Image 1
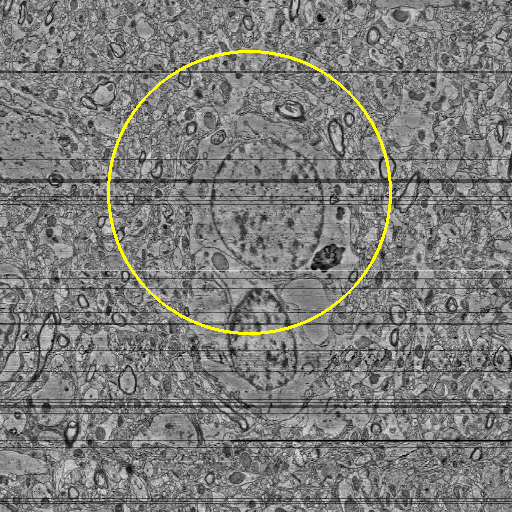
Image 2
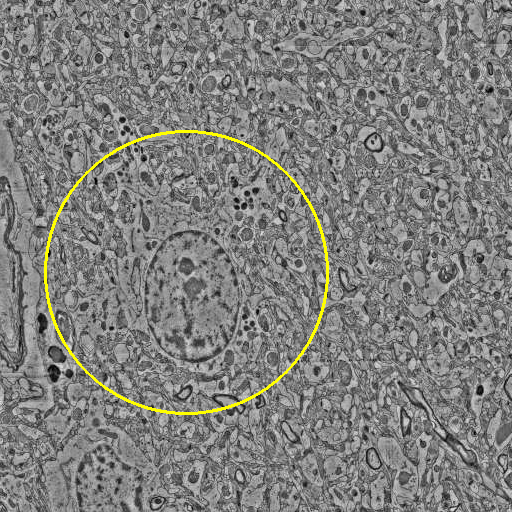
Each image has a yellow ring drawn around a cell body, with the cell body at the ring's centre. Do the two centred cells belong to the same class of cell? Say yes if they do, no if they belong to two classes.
yes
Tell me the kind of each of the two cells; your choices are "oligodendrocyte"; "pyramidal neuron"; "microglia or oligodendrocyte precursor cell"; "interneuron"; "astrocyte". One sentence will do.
In each of the two pictures, the ringed cell is an astrocyte.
